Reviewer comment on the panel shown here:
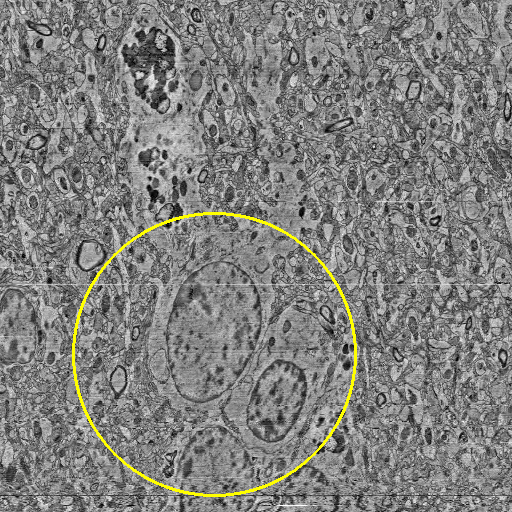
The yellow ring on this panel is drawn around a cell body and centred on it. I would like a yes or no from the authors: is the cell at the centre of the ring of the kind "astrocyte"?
yes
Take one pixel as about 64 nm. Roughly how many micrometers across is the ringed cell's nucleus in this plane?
About 9 by 6 micrometres; in this plane the nucleus is clearly longer than it is wide.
